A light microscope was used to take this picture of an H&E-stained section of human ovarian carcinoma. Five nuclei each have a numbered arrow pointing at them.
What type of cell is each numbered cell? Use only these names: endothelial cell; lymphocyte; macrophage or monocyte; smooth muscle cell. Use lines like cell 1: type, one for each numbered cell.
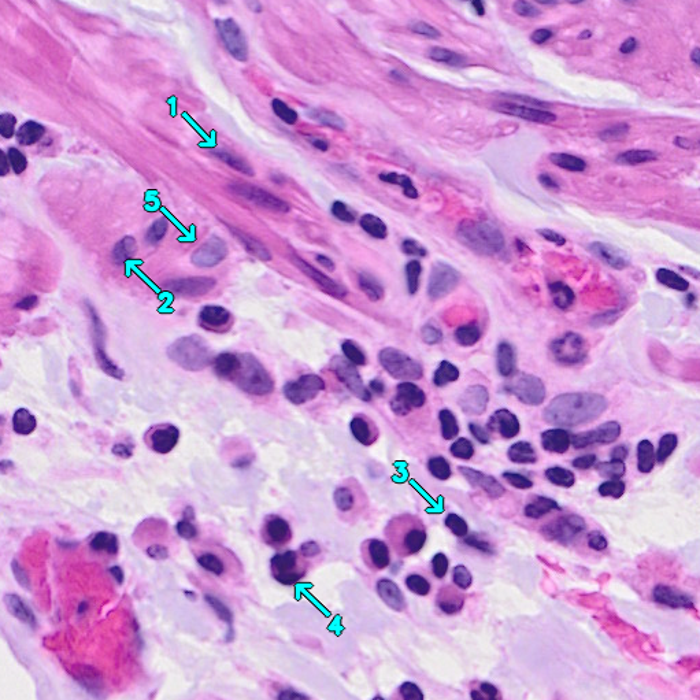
cell 1: smooth muscle cell
cell 2: smooth muscle cell
cell 3: lymphocyte
cell 4: lymphocyte
cell 5: smooth muscle cell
